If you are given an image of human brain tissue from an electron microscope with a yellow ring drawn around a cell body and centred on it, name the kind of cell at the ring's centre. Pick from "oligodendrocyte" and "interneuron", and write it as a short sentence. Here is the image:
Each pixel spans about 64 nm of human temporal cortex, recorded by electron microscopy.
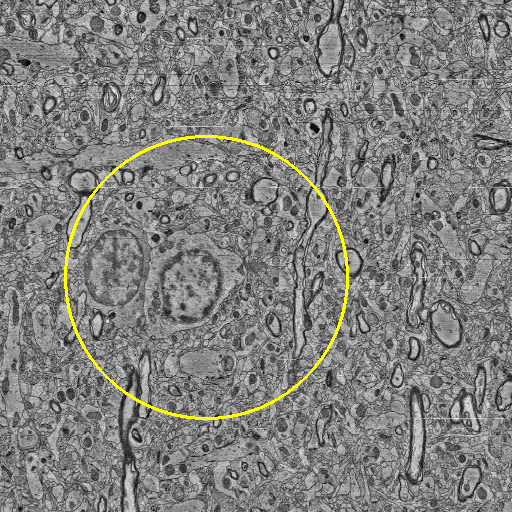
The cell at the ring's centre is an interneuron.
